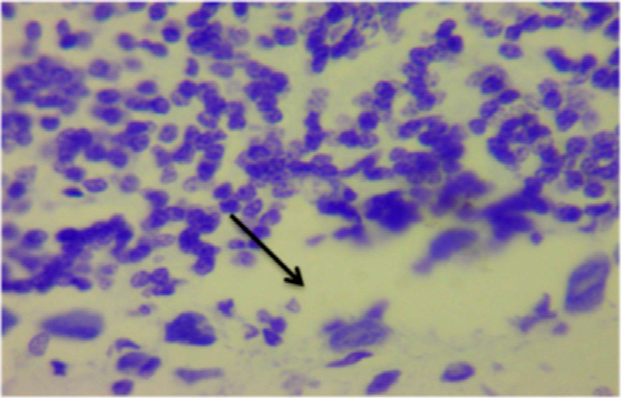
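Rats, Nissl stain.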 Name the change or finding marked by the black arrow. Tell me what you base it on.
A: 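The arrow points to a pale gap at the border between the dense layer of small nuclei and the pale layer. The few large cells near the arrow are irregular, elongated and darkly smudged rather than plump and rounded.
Loss of Purkinje cells.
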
